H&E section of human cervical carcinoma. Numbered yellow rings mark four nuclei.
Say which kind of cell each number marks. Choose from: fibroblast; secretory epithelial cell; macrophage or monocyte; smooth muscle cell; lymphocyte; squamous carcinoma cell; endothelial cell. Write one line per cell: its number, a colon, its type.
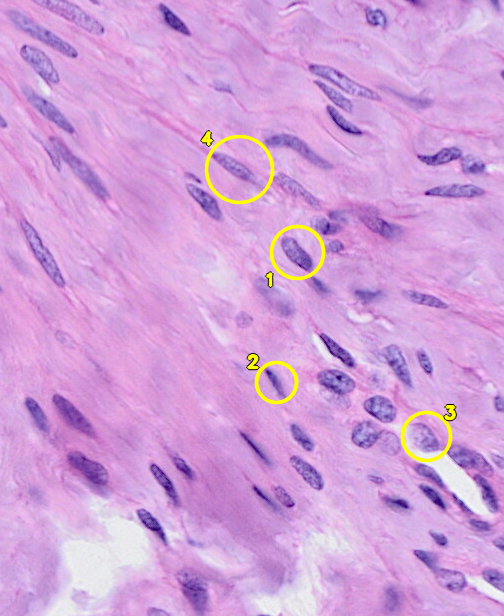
1: fibroblast
2: fibroblast
3: endothelial cell
4: smooth muscle cell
